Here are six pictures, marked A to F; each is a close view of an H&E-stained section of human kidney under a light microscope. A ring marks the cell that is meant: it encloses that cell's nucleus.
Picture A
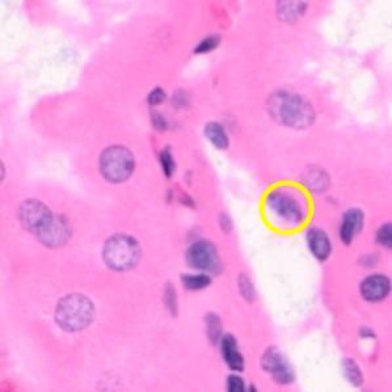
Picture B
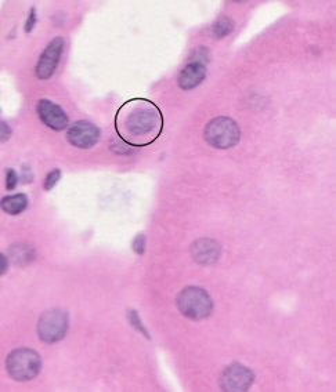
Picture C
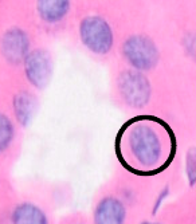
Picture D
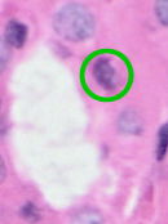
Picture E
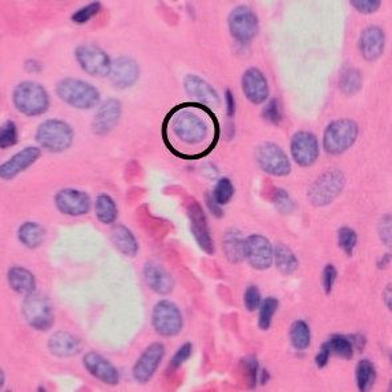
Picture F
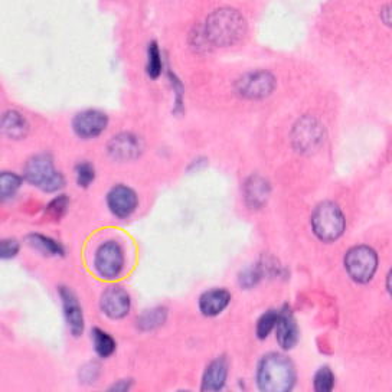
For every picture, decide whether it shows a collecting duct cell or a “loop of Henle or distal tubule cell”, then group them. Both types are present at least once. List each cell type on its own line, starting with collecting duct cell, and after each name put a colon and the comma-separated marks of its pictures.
collecting duct cell: B, E
loop of Henle or distal tubule cell: A, C, D, F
